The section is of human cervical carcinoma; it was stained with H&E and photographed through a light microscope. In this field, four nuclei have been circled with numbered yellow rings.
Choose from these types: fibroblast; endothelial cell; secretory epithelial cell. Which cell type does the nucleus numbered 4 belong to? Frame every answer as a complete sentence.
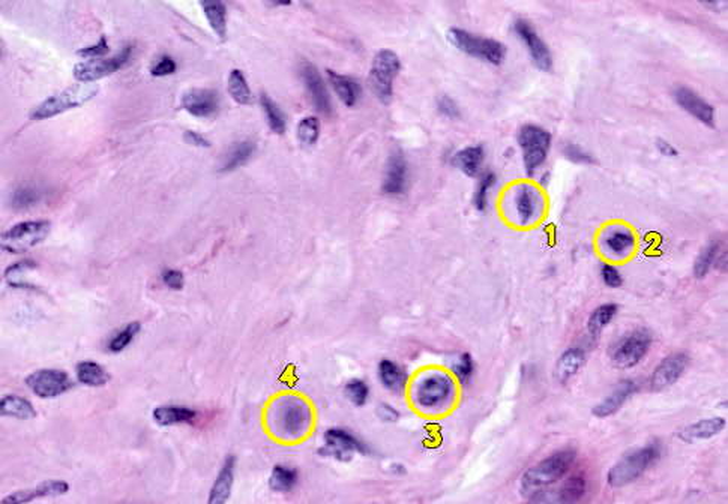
At number 4, the marked cell is a fibroblast.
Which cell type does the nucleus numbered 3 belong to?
Identified by the number 3, the cell is an endothelial cell.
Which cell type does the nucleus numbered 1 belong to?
Regarding cell 1, this one is a fibroblast.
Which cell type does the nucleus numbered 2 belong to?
The cell referenced by the number 2 is a fibroblast in this field.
